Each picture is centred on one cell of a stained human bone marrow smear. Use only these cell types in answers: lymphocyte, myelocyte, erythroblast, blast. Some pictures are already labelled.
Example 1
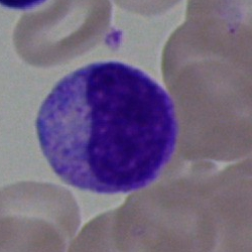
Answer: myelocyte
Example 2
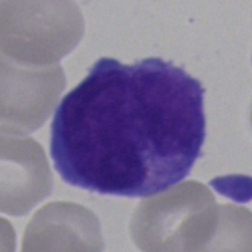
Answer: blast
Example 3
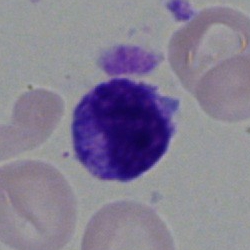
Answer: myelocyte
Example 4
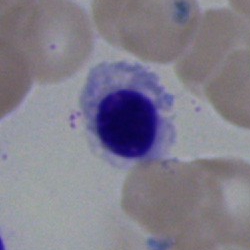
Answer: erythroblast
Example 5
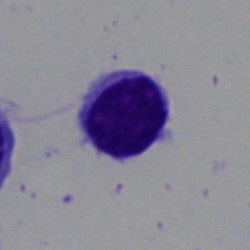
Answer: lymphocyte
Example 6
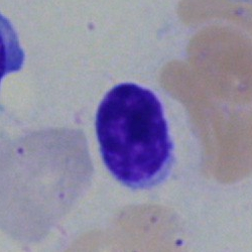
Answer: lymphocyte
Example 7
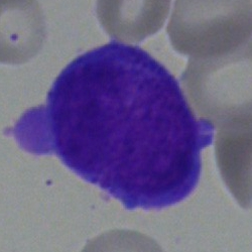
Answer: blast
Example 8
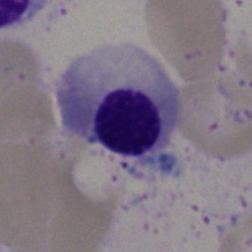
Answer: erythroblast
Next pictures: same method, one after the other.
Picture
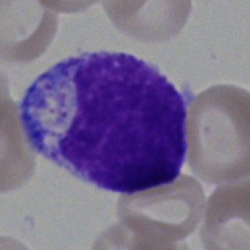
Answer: myelocyte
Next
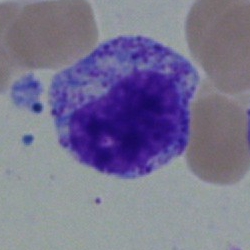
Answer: myelocyte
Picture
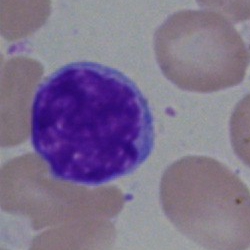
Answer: lymphocyte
